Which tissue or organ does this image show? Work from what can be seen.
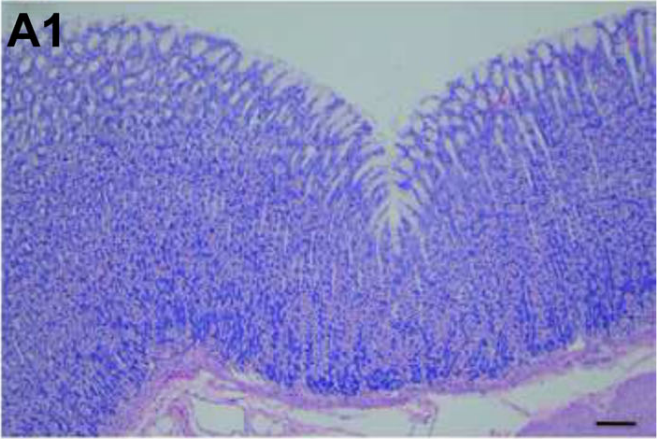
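Densely packed straight tubular glands run perpendicular to the surface. A thin pink layer of connective tissue and muscle lies beneath the glandular layer. A surface pit dips down between two mucosal folds. The answer: gastric mucosa.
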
